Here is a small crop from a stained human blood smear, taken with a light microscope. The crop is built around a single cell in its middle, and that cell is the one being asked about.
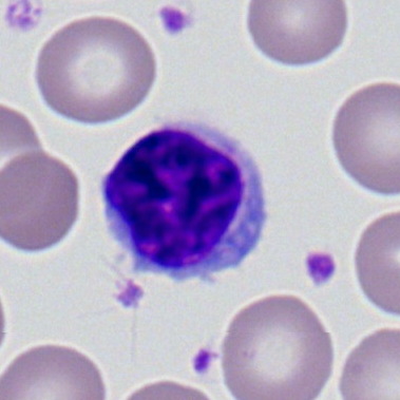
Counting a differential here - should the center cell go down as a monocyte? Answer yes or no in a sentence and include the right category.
No, the middle of the crop holds a lymphocyte, not a monocyte.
